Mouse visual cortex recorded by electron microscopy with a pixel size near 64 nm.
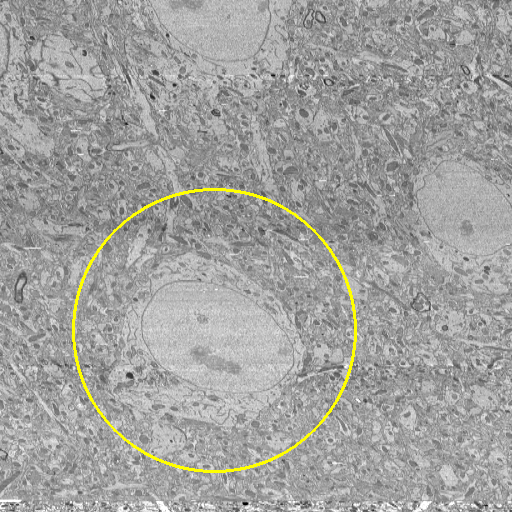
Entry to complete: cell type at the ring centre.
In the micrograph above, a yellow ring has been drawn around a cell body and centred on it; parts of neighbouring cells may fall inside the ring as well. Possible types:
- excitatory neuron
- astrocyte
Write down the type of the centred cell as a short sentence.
The ring is centred on an excitatory neuron.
